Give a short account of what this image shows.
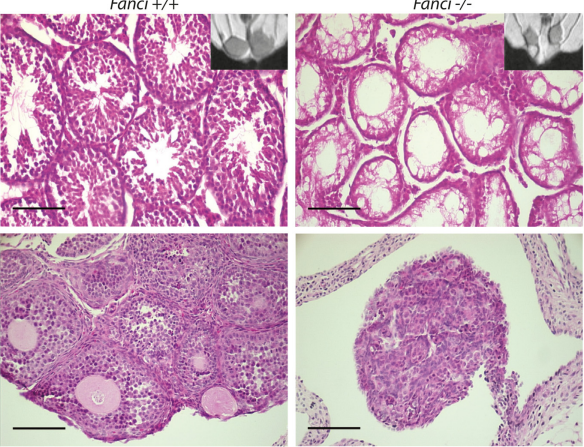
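Sections of testis and ovary stained pink and purple. On the left, the testis consists of round seminiferous tubules packed with many layers of purple-nucleated cells that converge on a central lumen with pale eosinophilic tails; the ovary on the left contains follicles with large round pink egg cells surrounded by layers of small follicle cells. On the right, the tubules are lined by only a thin rim of pale, vacuolated cells around wide empty lumens, without the stacked layers of germ cells, and the ovary is a compact mass of small cells in which no egg cells or follicles can be found.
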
